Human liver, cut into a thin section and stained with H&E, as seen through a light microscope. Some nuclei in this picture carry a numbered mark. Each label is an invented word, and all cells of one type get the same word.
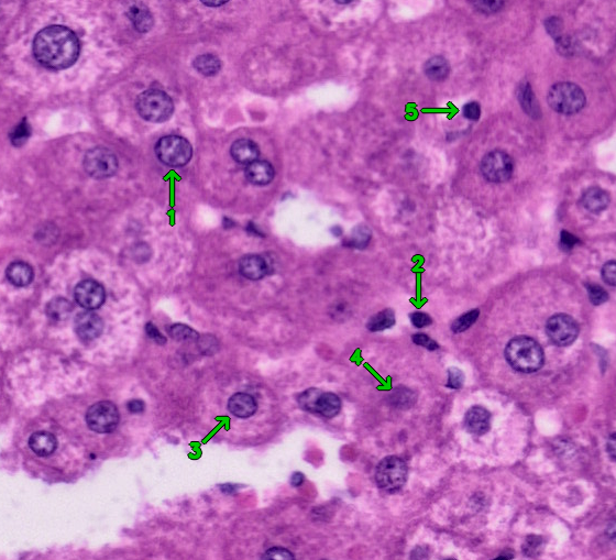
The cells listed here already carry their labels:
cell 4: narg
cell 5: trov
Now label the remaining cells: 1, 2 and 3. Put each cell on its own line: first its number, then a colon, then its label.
1: narg
2: trov
3: narg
